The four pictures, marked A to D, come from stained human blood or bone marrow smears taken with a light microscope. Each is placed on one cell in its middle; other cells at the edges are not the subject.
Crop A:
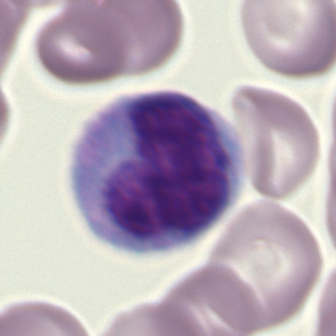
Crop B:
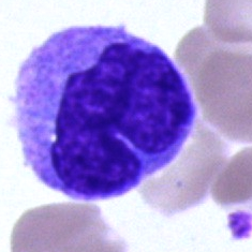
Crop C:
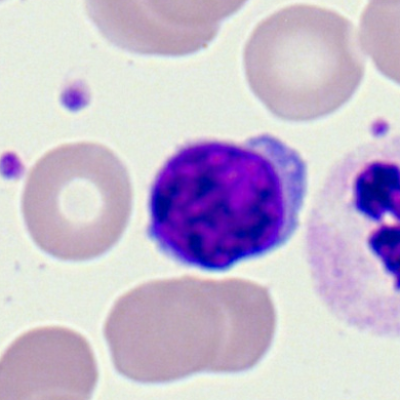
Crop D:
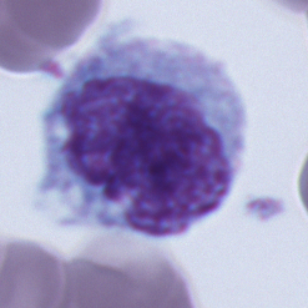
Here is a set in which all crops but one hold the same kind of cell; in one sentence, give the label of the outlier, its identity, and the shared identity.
Crop C is the only one that is a lymphocyte; all the others show monocytes.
